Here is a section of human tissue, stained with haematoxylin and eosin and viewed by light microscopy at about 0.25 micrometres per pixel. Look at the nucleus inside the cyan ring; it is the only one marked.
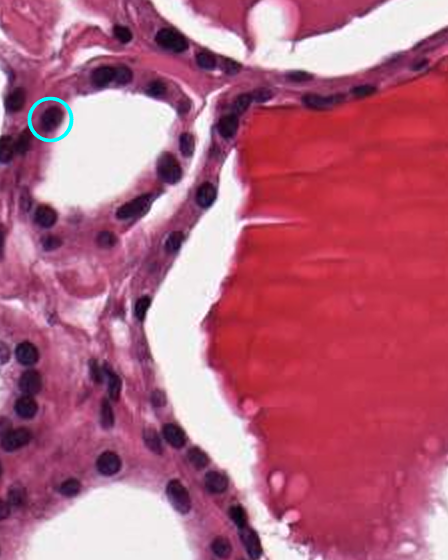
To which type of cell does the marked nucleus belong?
thyroid follicular cell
